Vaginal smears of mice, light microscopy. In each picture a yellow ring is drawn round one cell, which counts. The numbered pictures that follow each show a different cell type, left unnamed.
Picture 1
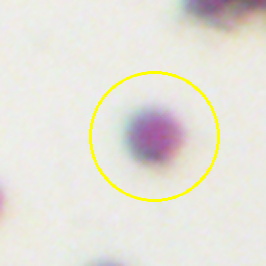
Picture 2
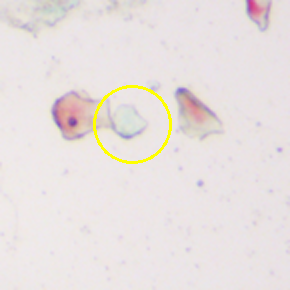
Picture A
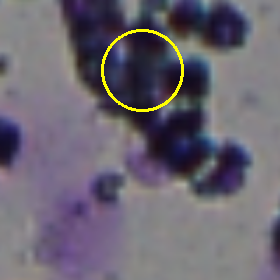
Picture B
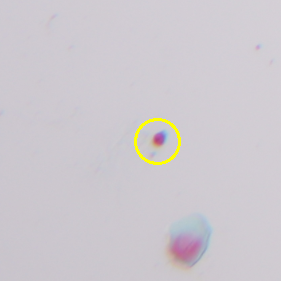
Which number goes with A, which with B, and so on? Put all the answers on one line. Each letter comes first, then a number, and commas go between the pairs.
A 1, B 1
